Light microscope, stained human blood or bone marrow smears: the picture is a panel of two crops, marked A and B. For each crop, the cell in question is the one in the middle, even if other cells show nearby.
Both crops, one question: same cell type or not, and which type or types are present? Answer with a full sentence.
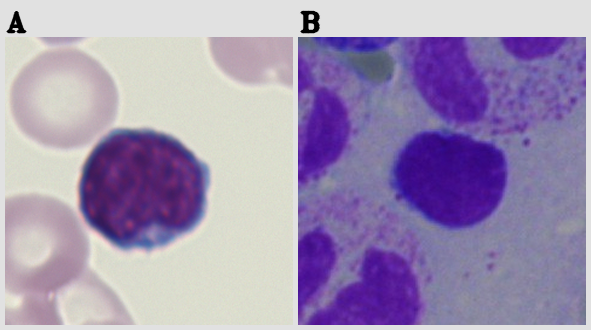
Yes, both crops feature lymphocytes at the centre.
